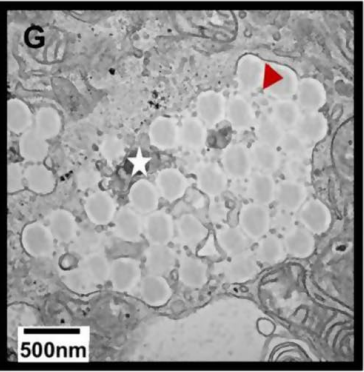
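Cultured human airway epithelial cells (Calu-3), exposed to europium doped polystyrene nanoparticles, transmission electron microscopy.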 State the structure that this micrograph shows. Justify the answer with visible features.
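Large particle-containing vesicles. A large membrane-bound compartment is packed with dozens of uniform round pale particles. The compartment lies within the cytoplasm surrounded by organelles.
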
